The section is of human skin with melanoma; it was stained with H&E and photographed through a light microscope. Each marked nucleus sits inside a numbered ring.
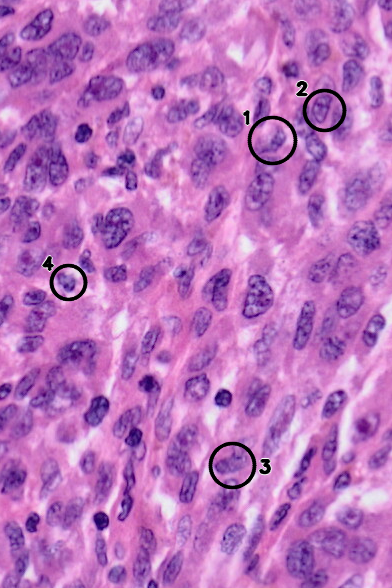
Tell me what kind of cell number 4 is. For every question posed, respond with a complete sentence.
In the marked set, the cell given number 4 is a lymphocyte.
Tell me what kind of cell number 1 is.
The cell that goes by number 1 is a melanoma cell.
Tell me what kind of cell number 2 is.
The cell referenced by the number 2 is a melanoma cell in this field.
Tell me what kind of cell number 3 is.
The cell indicated by marker 3 is a melanoma cell in this section.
